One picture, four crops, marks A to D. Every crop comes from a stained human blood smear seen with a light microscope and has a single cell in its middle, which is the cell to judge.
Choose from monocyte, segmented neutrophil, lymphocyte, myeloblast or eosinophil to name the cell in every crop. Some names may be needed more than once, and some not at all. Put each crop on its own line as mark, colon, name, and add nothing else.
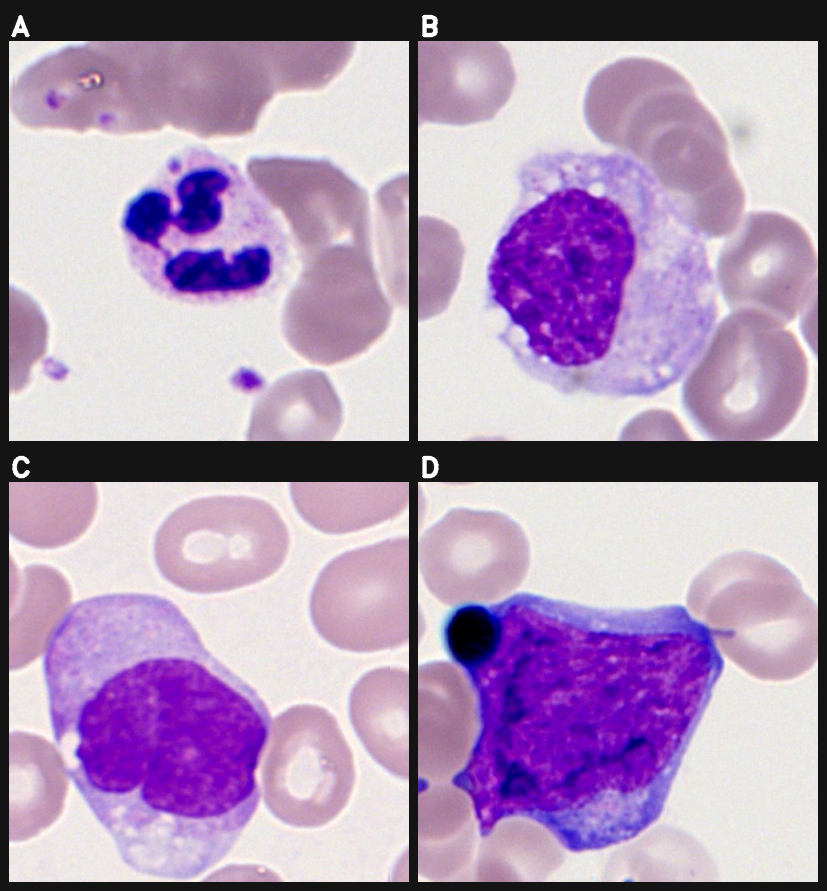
A: segmented neutrophil
B: monocyte
C: monocyte
D: myeloblast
